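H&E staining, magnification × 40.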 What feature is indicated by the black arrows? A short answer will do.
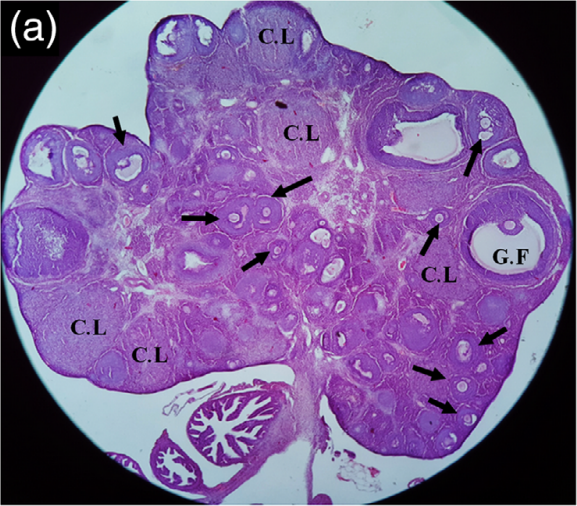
antral and preantral follicles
